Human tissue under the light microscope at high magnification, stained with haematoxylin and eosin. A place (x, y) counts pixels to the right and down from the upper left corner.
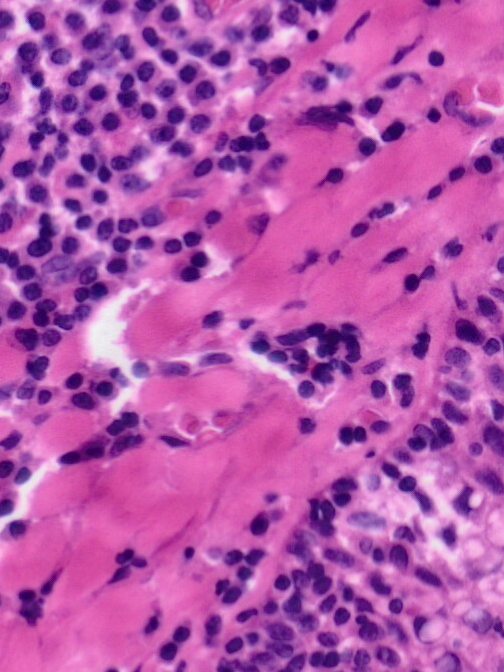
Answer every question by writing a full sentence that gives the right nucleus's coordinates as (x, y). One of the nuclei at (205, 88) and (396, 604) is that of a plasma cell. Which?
So, of the two, the nucleus at (205, 88) is the one belonging to a plasma cell.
